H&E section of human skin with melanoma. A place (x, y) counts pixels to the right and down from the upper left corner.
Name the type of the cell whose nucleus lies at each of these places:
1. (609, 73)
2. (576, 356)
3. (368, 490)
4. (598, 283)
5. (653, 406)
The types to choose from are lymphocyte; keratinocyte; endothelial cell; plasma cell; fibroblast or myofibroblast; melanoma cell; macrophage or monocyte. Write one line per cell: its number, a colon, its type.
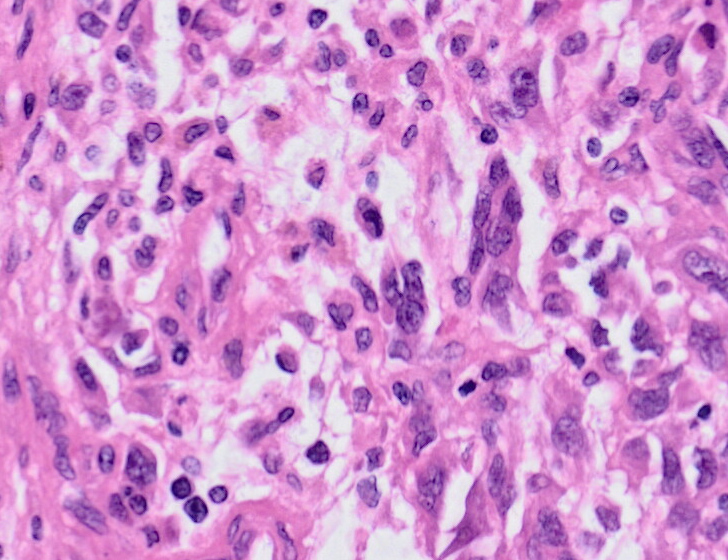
1: fibroblast or myofibroblast
2: lymphocyte
3: macrophage or monocyte
4: melanoma cell
5: melanoma cell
